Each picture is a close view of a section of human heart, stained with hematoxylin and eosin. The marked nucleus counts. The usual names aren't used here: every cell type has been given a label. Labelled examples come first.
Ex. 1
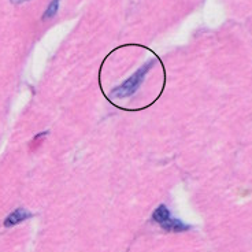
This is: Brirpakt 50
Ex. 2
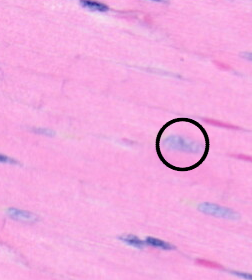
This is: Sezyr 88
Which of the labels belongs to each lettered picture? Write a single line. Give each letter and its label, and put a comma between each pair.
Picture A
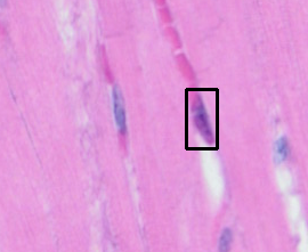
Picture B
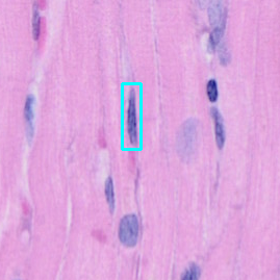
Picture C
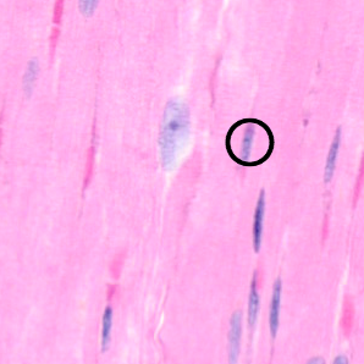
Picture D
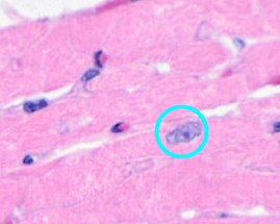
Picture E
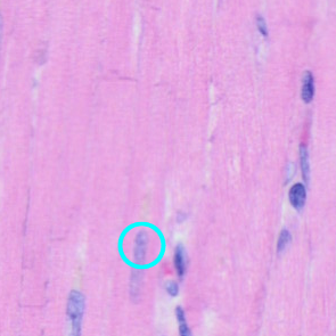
A Brirpakt 50, B Brirpakt 50, C Brirpakt 50, D Sezyr 88, E Sezyr 88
